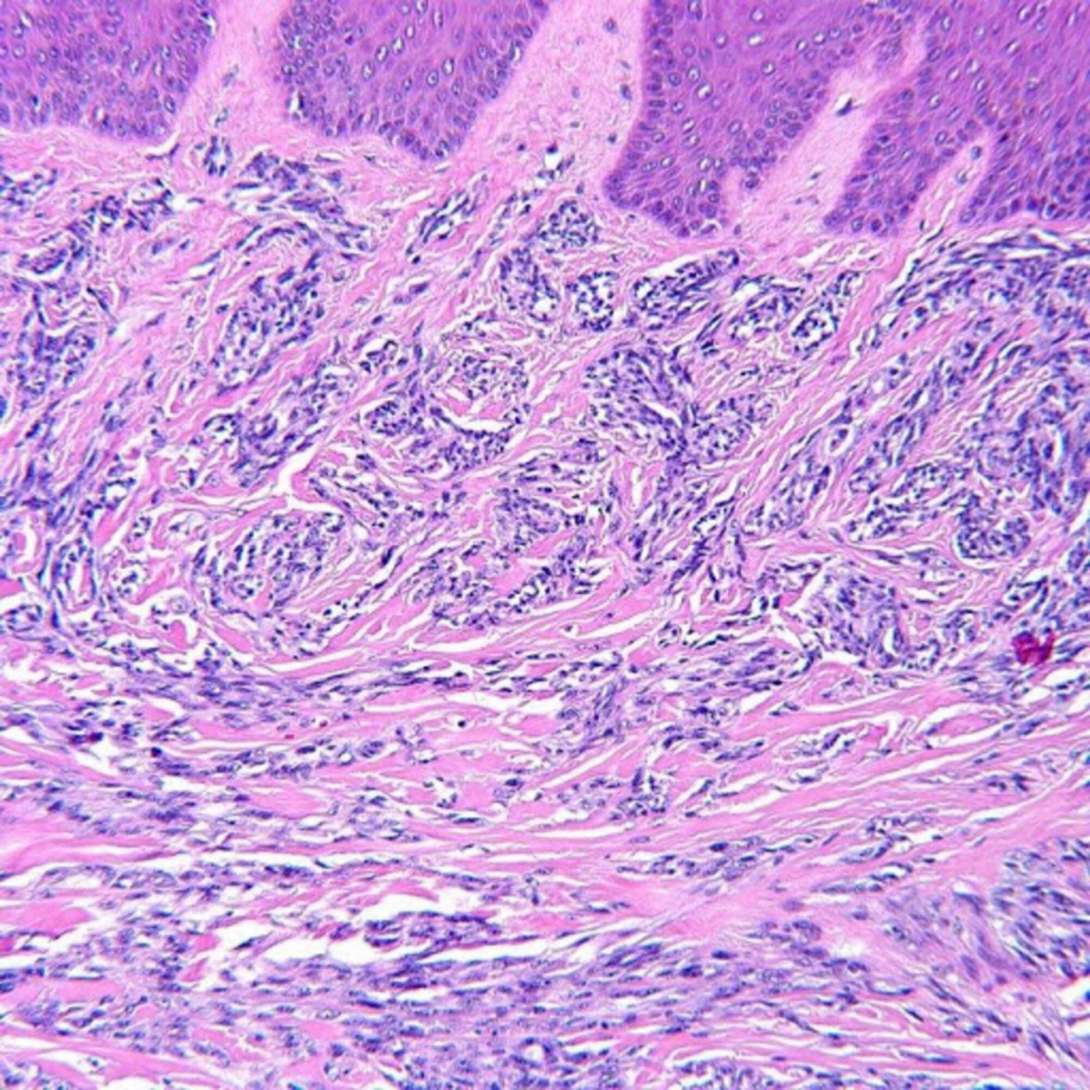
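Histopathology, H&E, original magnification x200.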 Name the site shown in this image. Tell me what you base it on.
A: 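A stratified squamous epidermis with rete ridges runs along the top. The cells fill the connective tissue beneath the epidermis. Pink collagen bundles separate the groups of cells. So: dermis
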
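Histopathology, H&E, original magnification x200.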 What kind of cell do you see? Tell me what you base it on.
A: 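Fusiform and round cells. Many cells have elongated, spindle-shaped nuclei. Other cells have rounder nuclei grouped in small nests. The cells lie among pink collagen bundles.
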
